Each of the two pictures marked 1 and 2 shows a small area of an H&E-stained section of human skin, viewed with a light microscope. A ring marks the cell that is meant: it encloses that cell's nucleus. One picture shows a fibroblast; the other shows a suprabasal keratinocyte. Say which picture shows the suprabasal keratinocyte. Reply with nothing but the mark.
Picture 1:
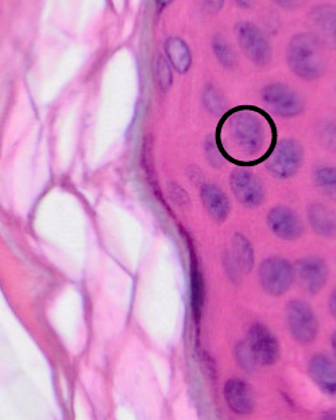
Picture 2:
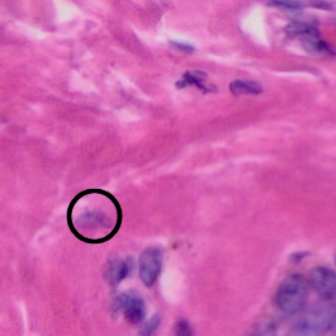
1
